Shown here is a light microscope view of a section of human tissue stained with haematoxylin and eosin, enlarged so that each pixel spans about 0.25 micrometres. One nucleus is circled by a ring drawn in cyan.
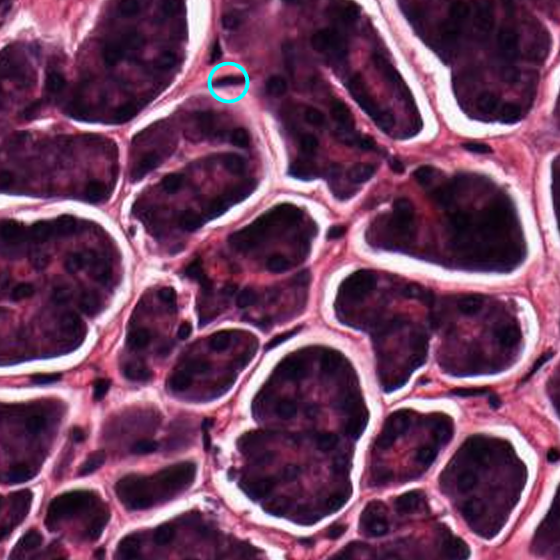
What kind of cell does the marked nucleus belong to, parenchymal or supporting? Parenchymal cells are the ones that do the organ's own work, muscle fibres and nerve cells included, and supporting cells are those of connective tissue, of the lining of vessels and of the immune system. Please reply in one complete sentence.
The marked nucleus is attributed to a supporting cell.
